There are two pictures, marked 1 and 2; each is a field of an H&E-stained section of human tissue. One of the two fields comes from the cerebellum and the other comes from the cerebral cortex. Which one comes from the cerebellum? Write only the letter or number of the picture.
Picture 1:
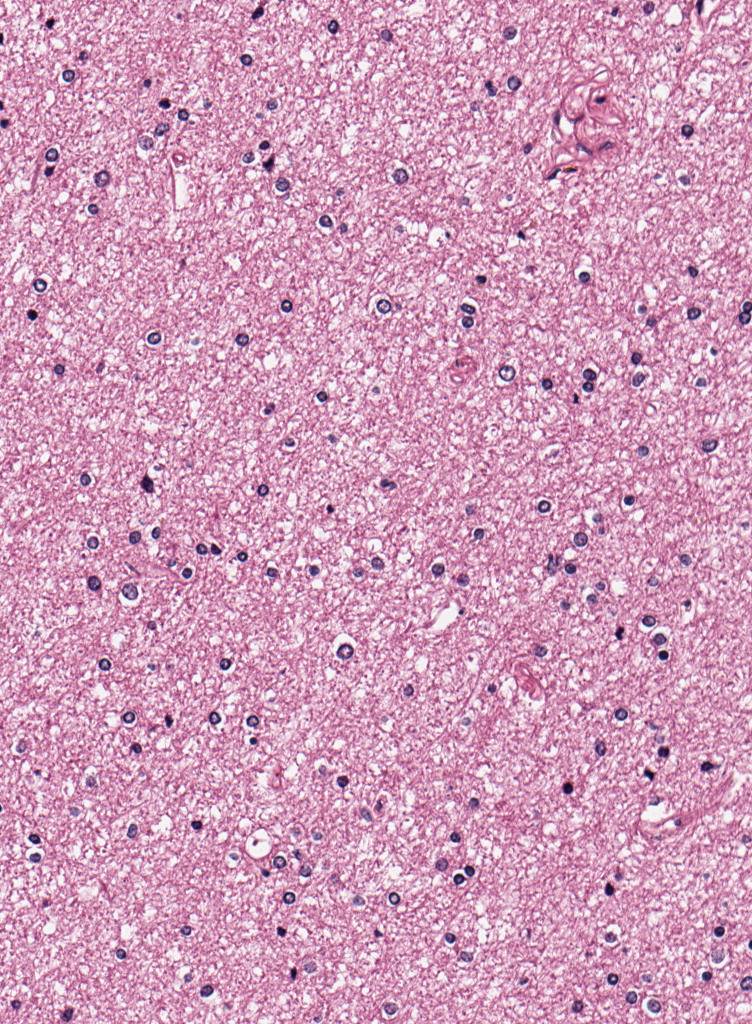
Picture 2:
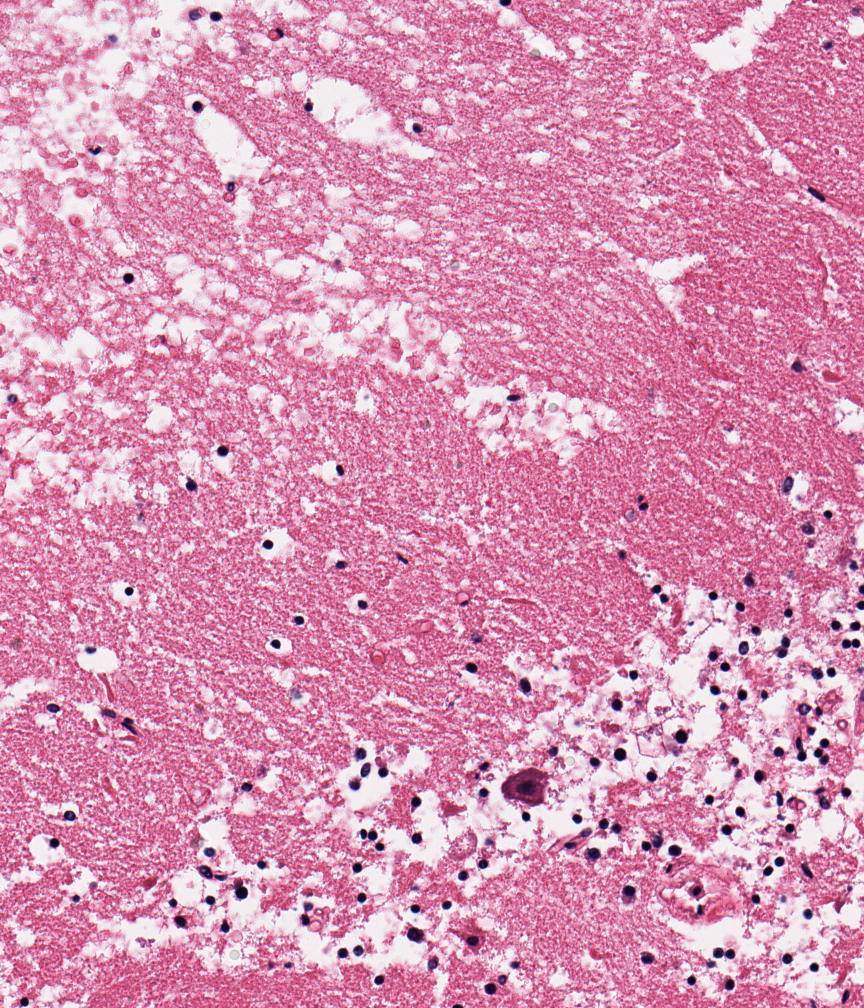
2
